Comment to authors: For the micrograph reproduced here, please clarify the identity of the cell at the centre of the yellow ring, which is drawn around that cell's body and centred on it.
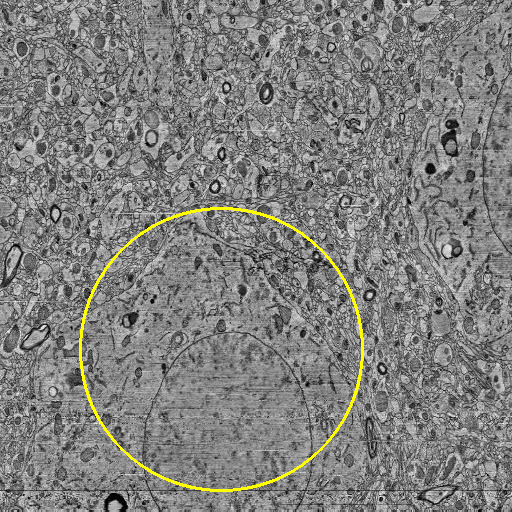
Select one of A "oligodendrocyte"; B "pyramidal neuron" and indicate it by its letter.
B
